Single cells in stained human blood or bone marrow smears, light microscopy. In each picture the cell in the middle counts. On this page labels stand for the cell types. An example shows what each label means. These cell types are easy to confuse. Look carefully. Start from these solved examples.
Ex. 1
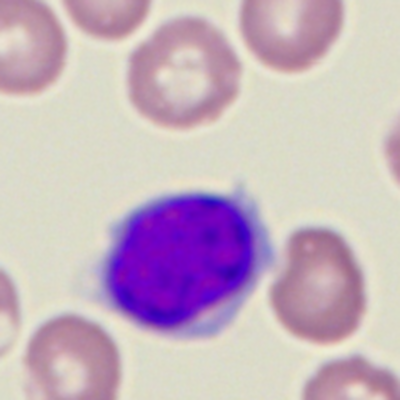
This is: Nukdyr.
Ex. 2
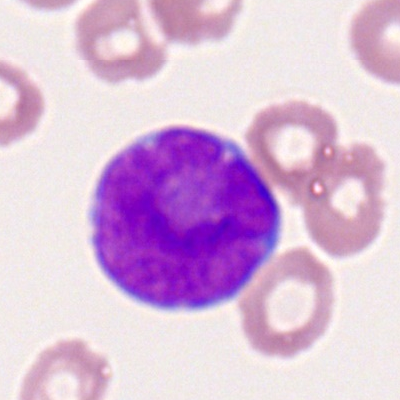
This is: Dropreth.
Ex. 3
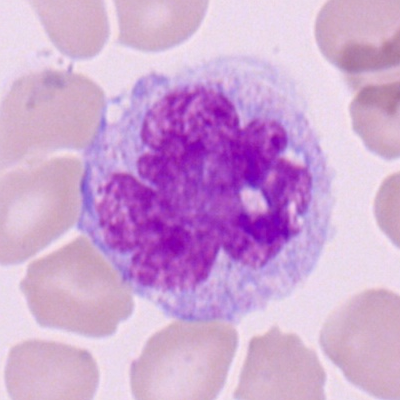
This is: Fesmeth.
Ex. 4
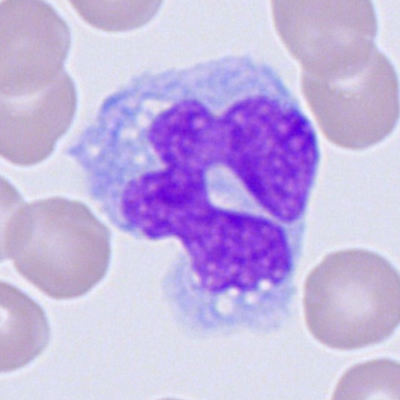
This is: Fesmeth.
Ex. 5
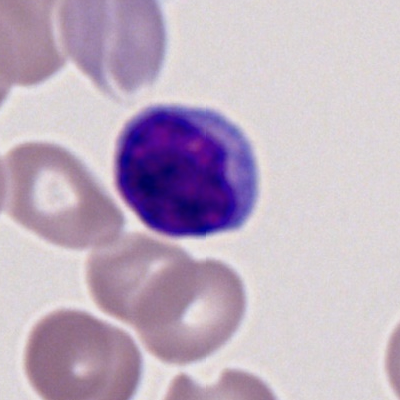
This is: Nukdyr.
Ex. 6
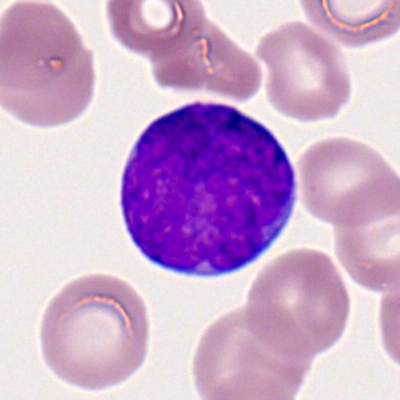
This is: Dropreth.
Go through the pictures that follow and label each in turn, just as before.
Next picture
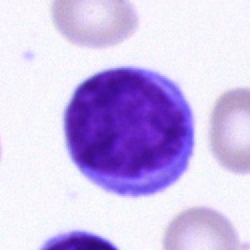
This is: Nukdyr.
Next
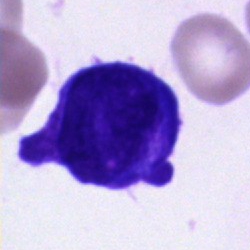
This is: Dropreth.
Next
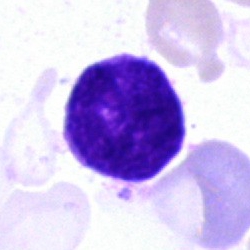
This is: Dropreth.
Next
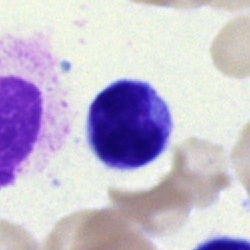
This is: Nukdyr.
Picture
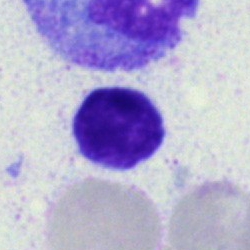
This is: Nukdyr.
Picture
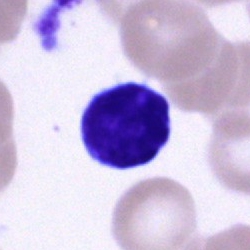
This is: Nukdyr.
